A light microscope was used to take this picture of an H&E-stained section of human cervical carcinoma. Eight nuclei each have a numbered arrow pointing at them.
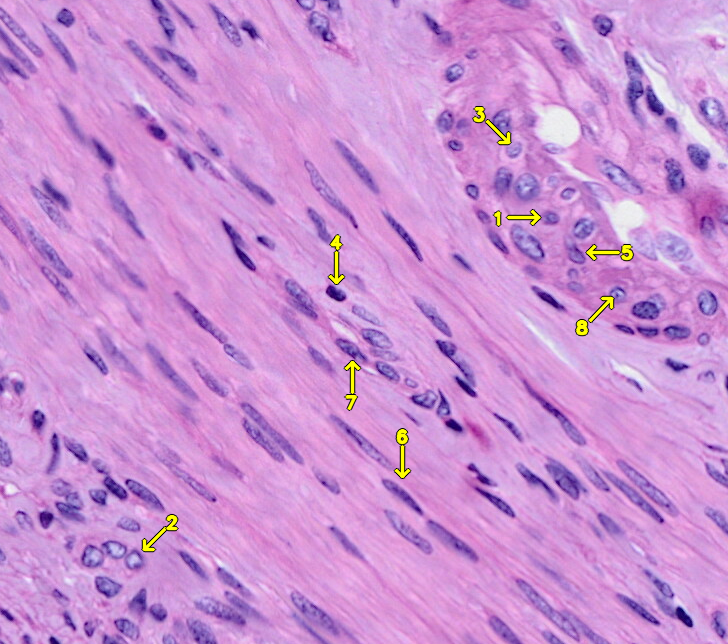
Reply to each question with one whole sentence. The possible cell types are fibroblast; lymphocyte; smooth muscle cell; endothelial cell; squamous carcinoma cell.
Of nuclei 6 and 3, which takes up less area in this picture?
It is nucleus 3; nucleus 6 has about 1.5 times its area.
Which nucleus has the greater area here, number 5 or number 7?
Nucleus 7 covers more area, about 1.5 times as much as nucleus 5.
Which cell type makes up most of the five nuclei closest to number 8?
Most of the five nuclei nearest to number 8 are those of smooth muscle cells.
